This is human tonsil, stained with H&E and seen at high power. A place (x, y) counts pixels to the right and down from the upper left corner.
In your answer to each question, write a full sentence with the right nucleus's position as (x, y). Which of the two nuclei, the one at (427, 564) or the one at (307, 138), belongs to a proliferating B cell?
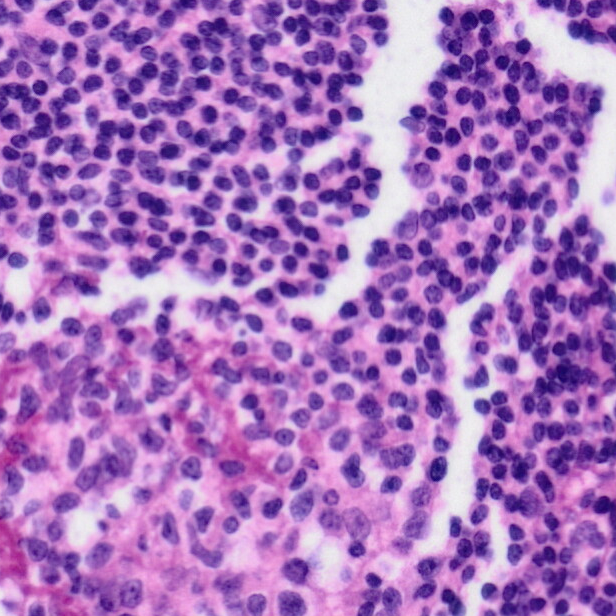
The nucleus situated at (427, 564) is the one belonging to a proliferating B cell.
